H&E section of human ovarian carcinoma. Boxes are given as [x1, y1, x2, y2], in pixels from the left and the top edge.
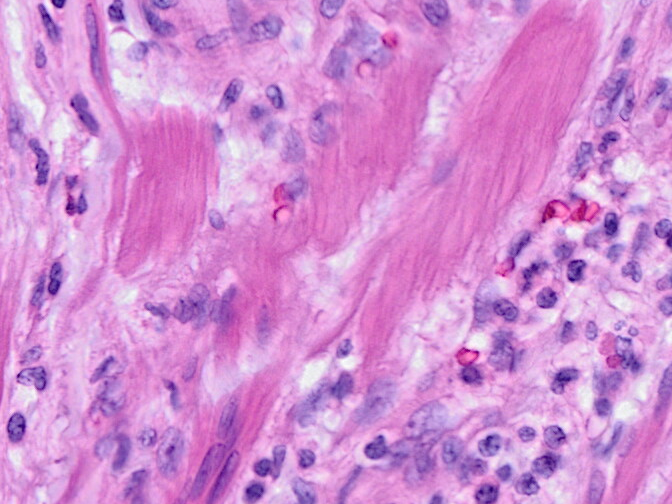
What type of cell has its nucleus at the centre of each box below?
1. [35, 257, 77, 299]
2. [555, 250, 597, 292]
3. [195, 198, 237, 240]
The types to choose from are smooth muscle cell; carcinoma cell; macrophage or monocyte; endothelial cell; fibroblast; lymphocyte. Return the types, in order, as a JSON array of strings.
["macrophage or monocyte", "lymphocyte", "smooth muscle cell"]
